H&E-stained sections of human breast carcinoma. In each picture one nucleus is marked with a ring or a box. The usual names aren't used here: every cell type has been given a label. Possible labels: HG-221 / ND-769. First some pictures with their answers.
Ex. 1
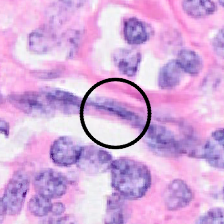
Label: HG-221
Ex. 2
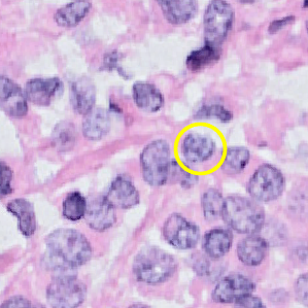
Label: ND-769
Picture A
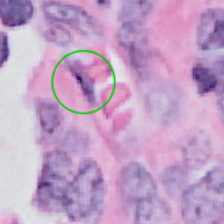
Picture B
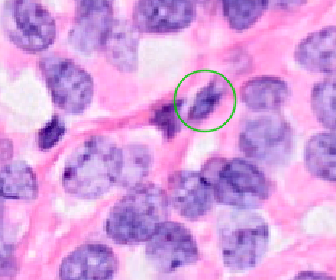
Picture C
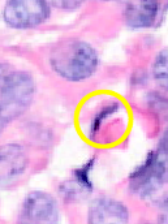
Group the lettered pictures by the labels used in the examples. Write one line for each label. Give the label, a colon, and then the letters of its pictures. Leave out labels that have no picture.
HG-221: A, B, C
